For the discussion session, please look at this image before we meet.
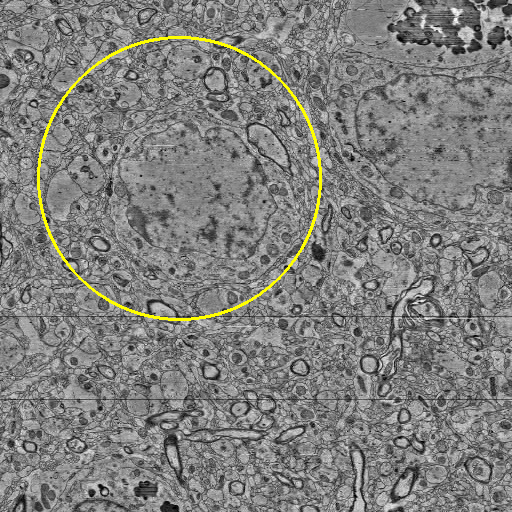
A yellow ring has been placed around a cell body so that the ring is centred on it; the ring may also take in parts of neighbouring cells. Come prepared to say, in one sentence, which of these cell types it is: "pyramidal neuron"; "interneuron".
The cell centred in the ring is an interneuron.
